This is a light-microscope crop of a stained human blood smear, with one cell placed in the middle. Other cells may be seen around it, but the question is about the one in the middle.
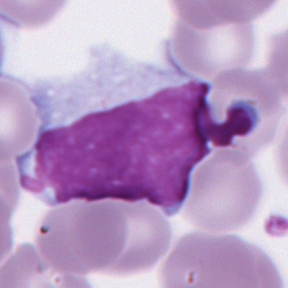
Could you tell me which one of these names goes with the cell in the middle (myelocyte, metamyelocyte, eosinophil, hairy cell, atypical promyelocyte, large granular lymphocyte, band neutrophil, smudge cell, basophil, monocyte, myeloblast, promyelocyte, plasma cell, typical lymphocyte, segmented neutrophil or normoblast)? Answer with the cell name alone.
typical lymphocyte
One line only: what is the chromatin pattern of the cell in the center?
Answer: the chromatin is fine and has no coarse clumps.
